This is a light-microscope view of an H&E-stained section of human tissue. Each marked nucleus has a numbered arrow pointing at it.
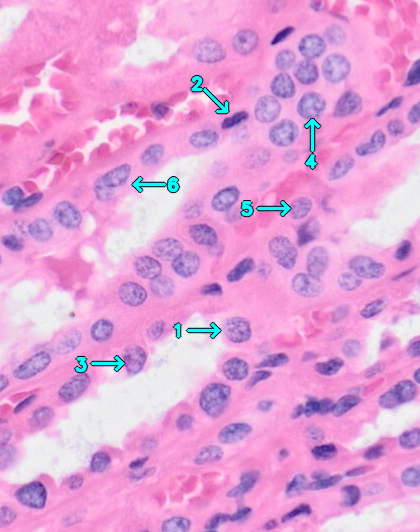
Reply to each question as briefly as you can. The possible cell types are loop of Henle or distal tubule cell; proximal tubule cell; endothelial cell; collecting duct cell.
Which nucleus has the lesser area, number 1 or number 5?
5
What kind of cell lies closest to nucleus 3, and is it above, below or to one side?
a loop of Henle or distal tubule cell above and to the right of nucleus 3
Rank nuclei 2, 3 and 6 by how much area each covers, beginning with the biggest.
6, 3, 2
